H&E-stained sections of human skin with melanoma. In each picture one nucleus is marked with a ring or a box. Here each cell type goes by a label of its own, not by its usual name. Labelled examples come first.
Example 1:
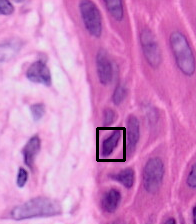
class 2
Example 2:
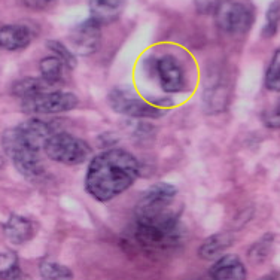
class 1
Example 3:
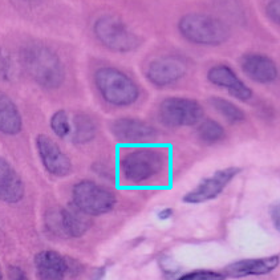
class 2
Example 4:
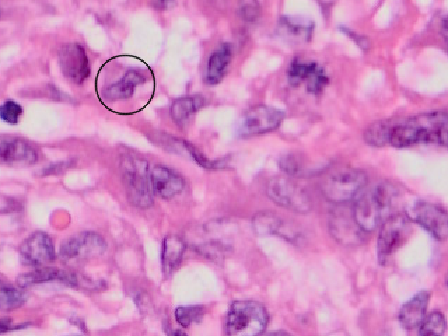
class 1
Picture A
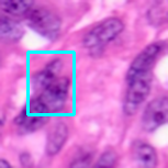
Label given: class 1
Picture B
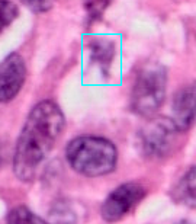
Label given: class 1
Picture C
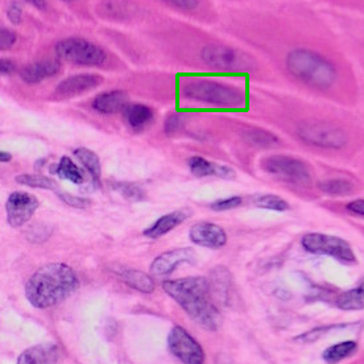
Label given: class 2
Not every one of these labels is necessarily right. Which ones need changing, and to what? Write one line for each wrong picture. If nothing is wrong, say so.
Every label is right.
